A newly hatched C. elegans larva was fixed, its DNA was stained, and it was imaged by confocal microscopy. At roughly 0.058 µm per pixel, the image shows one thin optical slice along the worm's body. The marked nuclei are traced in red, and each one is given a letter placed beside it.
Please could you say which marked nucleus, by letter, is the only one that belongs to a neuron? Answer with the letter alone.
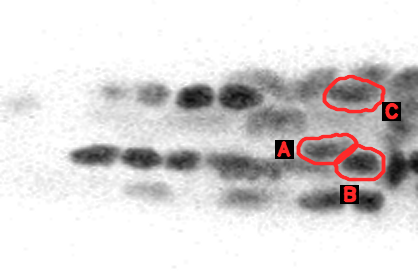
B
